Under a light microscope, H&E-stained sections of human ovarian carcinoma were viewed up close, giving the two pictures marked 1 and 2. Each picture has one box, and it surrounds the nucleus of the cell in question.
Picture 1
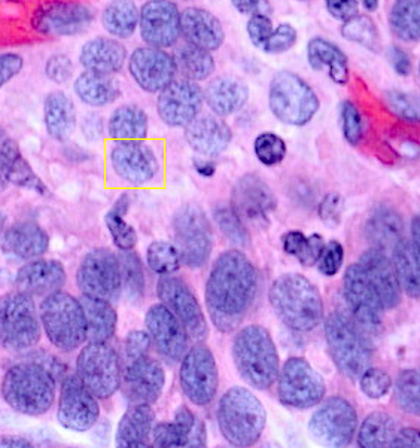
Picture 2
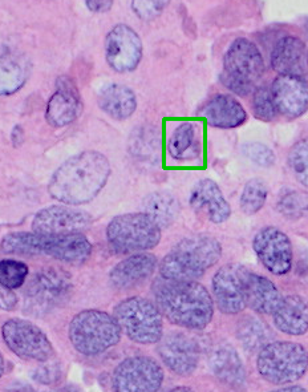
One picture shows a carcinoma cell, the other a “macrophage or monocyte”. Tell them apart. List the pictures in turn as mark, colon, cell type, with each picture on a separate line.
1: carcinoma cell
2: macrophage or monocyte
